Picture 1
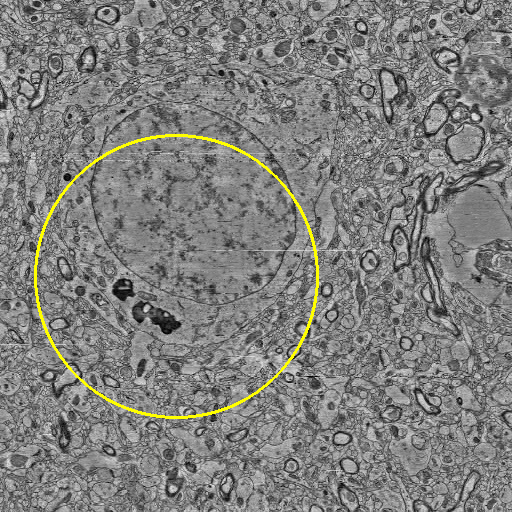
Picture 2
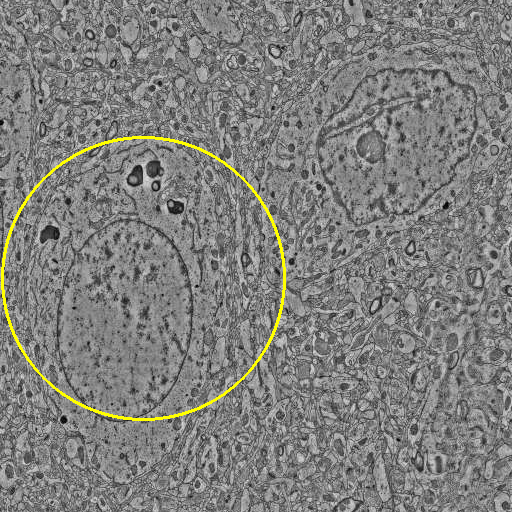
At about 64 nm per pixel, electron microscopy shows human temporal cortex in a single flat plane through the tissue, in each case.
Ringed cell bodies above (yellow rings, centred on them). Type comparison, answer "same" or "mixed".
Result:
same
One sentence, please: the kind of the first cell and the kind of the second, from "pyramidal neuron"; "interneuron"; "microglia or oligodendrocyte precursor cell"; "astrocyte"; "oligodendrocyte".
Each of the two rings is centred on a pyramidal neuron.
